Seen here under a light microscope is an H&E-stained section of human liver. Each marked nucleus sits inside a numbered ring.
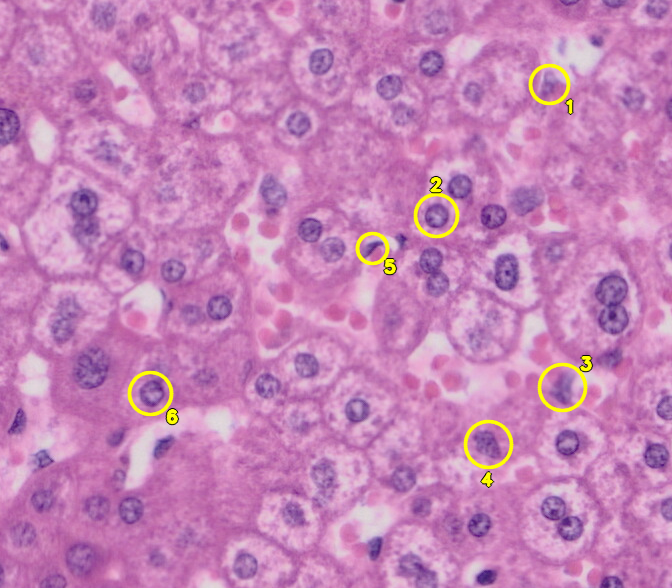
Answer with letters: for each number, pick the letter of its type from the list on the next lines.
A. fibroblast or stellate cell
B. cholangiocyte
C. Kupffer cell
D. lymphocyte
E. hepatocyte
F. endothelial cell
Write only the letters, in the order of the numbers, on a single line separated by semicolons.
F; E; F; A; F; E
